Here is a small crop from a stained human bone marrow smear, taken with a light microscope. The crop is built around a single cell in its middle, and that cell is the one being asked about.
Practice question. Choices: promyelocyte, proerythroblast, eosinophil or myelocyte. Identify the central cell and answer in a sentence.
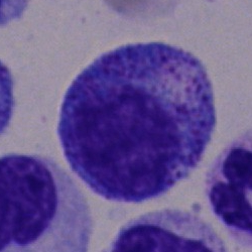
The crop's centre is taken up by a promyelocyte.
